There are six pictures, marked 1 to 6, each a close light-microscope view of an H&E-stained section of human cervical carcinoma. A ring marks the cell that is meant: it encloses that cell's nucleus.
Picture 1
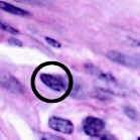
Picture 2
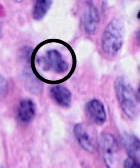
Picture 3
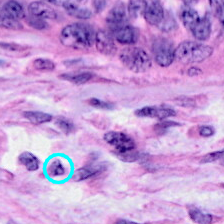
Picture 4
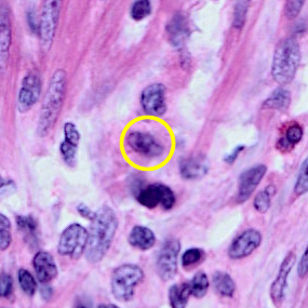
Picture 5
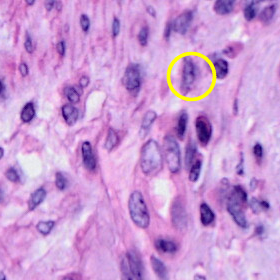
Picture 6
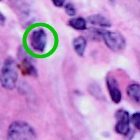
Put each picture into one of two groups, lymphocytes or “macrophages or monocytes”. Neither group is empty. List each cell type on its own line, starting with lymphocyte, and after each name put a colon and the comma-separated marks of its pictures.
lymphocyte: 1, 2, 3, 6
macrophage or monocyte: 4, 5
